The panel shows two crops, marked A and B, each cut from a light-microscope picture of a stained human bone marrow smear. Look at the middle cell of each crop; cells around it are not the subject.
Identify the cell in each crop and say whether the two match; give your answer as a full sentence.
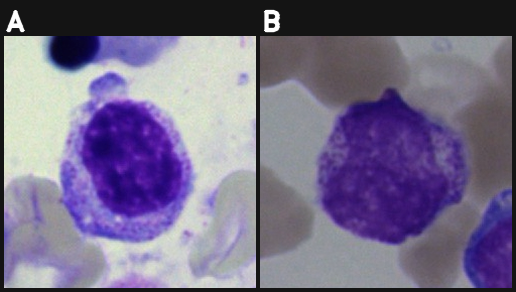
Yes, both crops alike show myelocytes at the centre.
